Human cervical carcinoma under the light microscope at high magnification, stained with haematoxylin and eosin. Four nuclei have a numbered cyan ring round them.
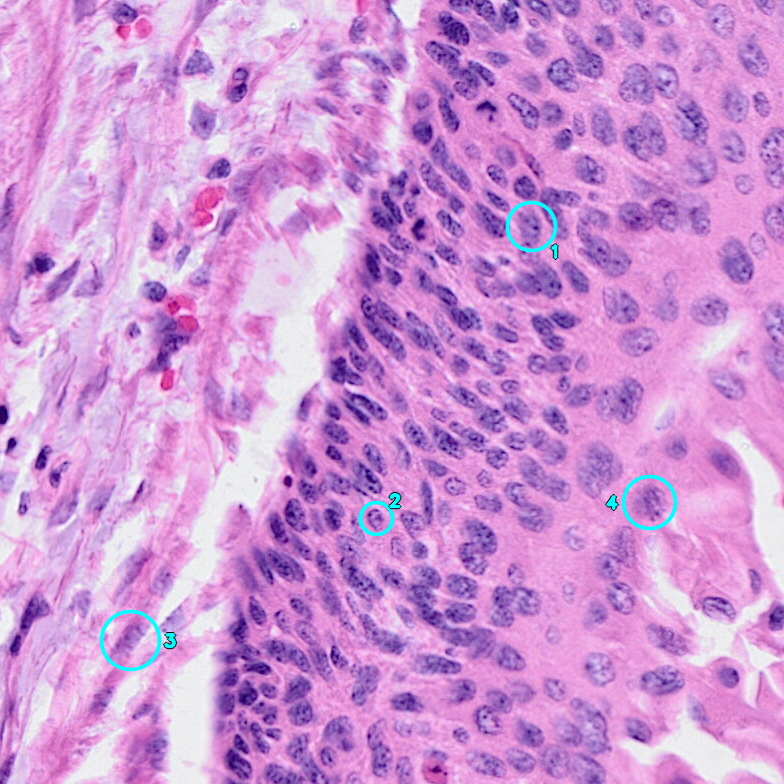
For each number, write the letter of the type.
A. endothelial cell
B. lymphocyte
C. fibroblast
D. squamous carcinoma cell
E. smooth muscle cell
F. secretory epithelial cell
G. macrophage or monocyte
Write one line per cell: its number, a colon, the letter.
1: D
2: D
3: C
4: D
